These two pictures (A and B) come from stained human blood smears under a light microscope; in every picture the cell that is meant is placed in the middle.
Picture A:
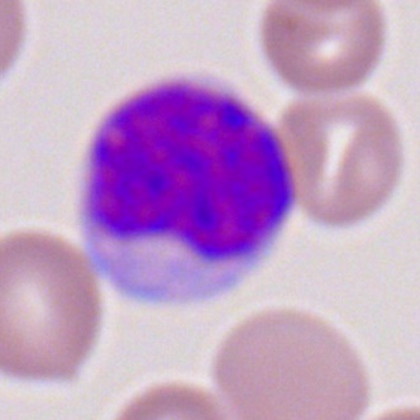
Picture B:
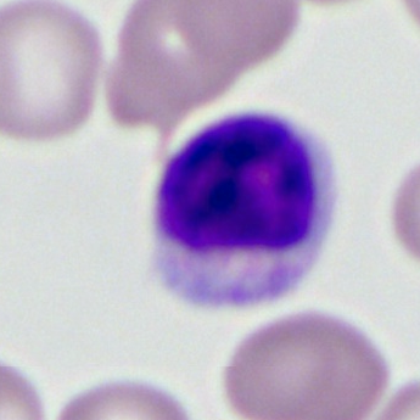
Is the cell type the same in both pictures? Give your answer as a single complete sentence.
Yes, they are the same type: both are lymphocytes.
